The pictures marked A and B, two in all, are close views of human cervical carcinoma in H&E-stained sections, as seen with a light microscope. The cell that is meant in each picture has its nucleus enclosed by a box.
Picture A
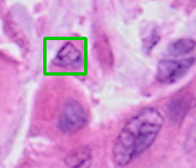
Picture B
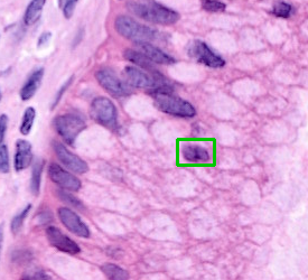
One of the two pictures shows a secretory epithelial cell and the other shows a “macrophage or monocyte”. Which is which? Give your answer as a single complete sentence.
Picture B shows a secretory epithelial cell, while picture A shows a “macrophage or monocyte”.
